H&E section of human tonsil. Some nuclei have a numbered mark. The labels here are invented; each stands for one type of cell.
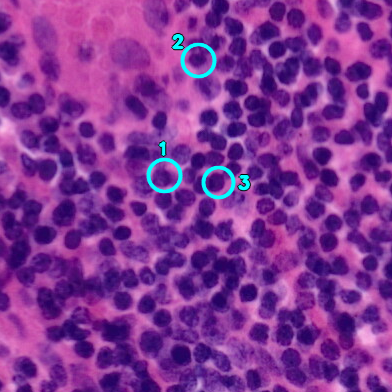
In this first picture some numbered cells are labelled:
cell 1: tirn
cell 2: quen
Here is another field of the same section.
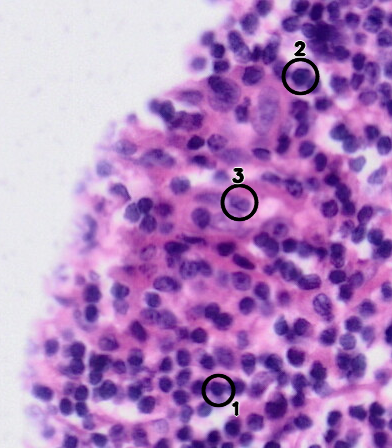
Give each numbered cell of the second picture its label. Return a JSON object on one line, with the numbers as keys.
{"1": "tirn", "2": "tirn", "3": "quen"}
